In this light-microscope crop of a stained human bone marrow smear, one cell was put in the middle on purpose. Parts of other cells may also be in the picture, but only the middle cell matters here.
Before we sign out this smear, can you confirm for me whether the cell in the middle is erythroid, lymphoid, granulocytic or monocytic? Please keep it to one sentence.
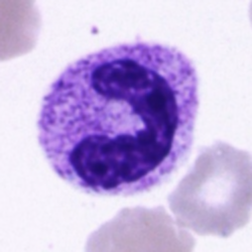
For the cell at the center, the lineage is granulocytic.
